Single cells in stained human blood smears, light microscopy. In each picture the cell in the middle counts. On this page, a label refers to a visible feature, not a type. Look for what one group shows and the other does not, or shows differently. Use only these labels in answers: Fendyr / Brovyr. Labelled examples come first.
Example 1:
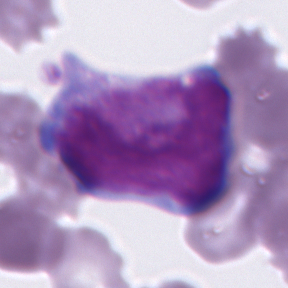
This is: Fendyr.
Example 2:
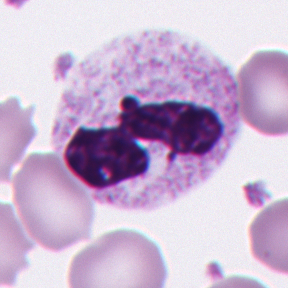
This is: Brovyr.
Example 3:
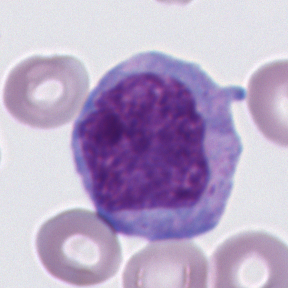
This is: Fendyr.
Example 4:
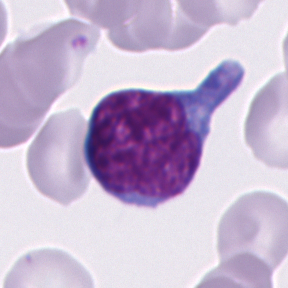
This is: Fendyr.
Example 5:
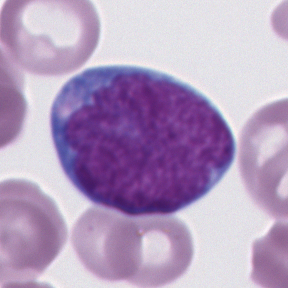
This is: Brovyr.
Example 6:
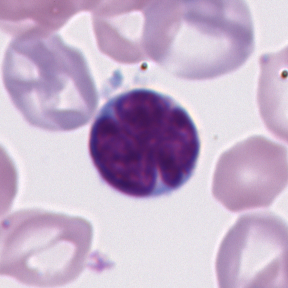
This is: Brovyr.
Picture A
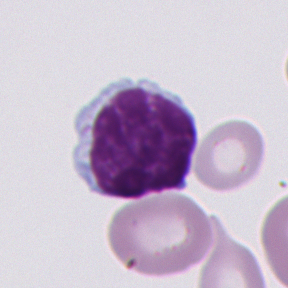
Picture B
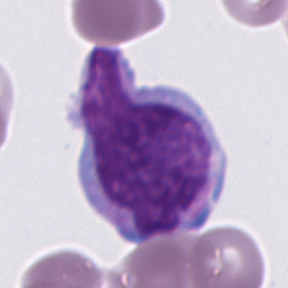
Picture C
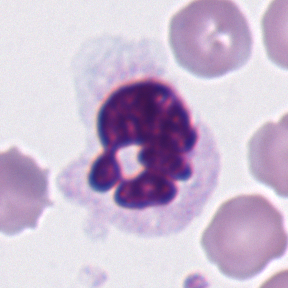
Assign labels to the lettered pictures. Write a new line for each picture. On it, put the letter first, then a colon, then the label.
A: Fendyr.
B: Fendyr.
C: Fendyr.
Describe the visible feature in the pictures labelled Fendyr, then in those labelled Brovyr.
Fendyr, ragged outline or projections; Brovyr, smooth outline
